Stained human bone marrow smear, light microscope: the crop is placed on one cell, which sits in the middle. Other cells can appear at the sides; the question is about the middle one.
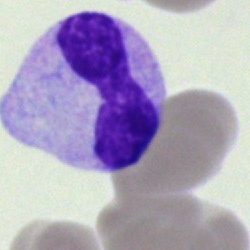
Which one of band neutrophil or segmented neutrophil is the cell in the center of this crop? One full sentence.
For this crop, the central cell is a band neutrophil.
